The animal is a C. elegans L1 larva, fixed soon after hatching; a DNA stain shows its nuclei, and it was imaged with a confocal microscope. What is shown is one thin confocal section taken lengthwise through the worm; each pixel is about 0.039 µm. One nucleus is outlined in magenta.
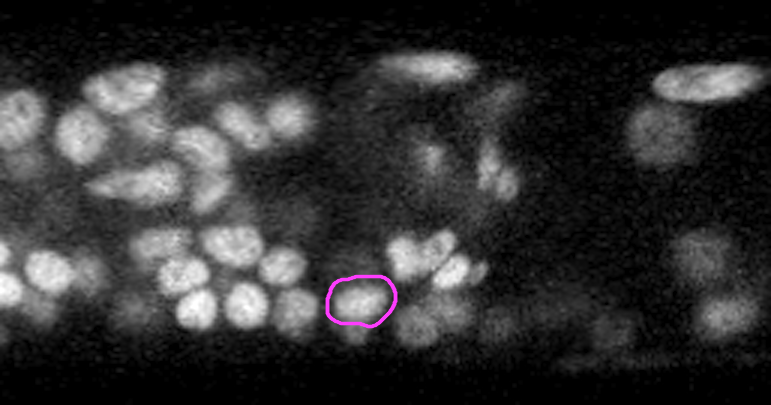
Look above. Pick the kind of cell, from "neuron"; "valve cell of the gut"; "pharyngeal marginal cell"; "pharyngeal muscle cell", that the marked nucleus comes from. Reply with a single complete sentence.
What is marked is the nucleus of a neuron.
